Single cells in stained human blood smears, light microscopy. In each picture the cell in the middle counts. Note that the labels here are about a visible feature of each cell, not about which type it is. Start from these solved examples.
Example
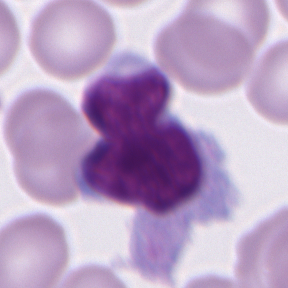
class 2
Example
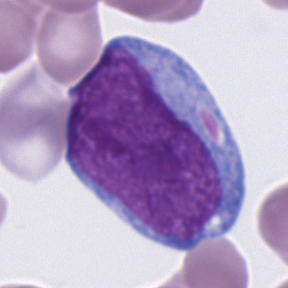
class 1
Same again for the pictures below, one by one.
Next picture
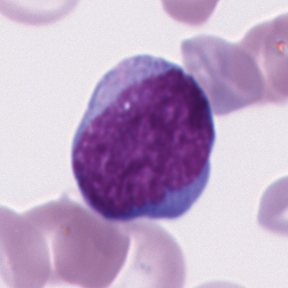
class 1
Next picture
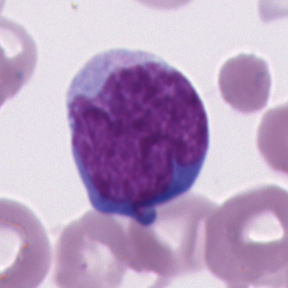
class 2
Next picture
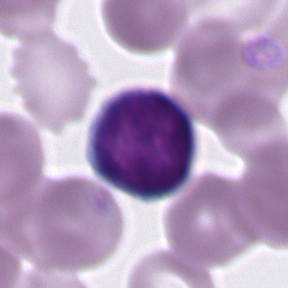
class 1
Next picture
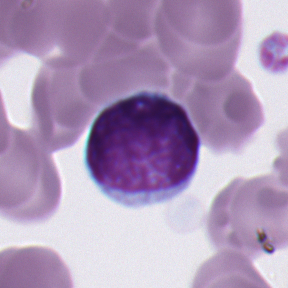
class 1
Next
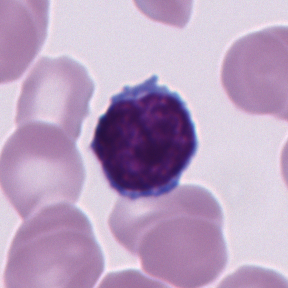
class 2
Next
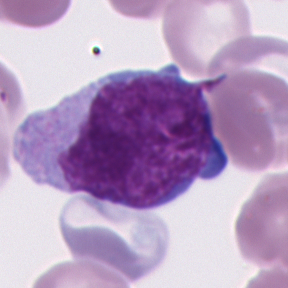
class 2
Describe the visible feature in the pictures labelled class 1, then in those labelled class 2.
Seen in class 1: smooth outline; seen in class 2: ragged outline or projections.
